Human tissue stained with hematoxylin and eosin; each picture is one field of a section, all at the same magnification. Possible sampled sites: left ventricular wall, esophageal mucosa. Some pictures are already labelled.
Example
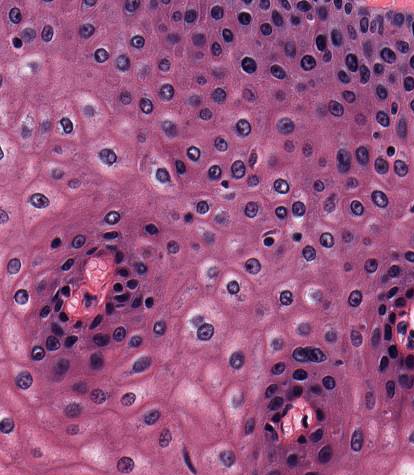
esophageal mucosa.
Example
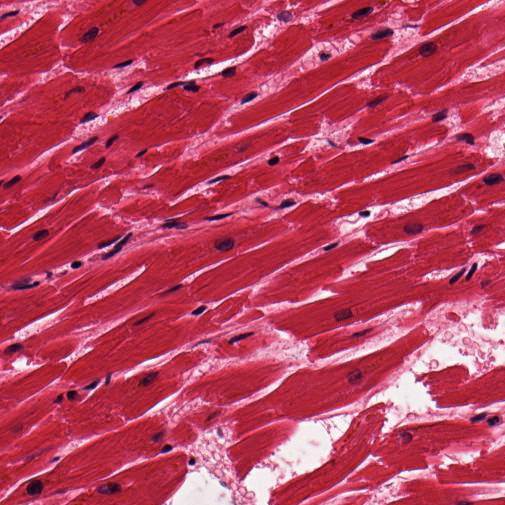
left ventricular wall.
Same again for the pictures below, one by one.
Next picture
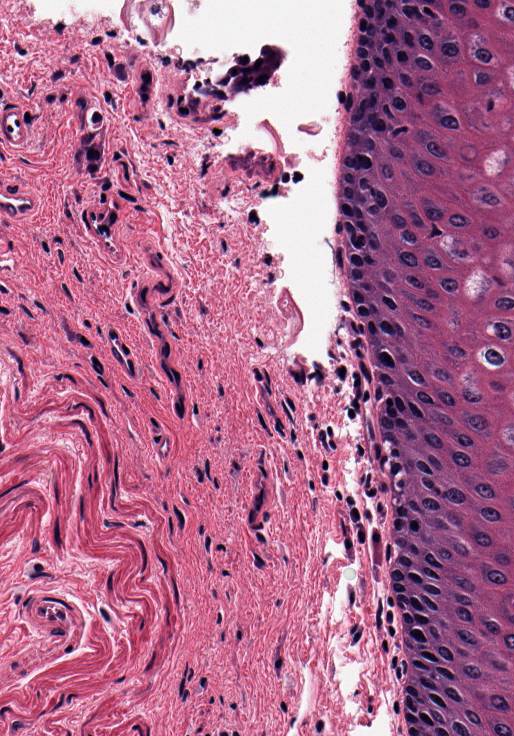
esophageal mucosa.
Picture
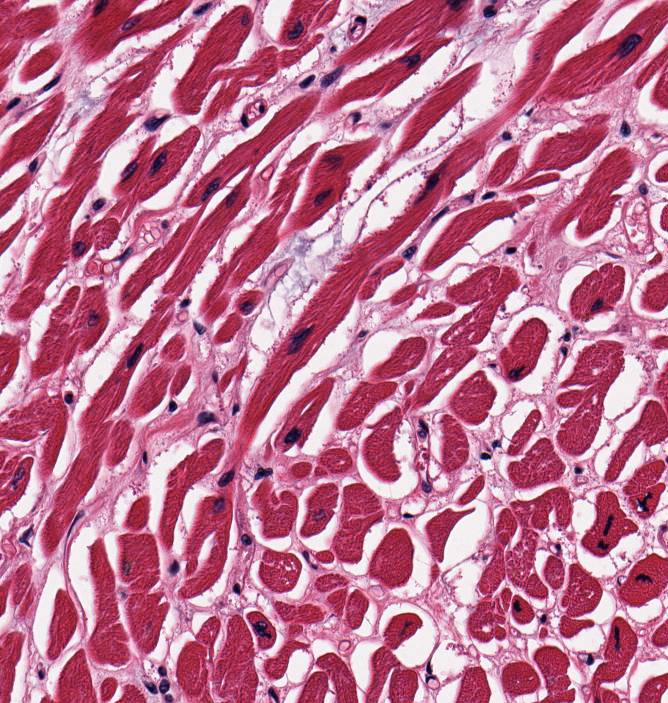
left ventricular wall.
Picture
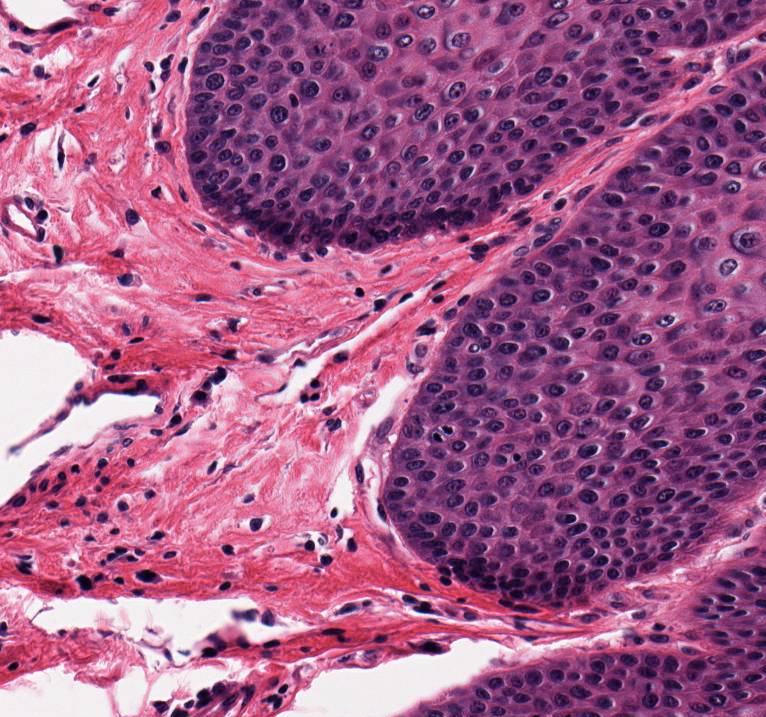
esophageal mucosa.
